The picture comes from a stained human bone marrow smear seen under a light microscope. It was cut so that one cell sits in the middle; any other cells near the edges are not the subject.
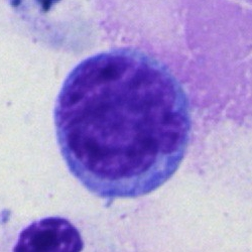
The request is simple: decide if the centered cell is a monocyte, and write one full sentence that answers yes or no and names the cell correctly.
Yes, the cell here in the middle is a monocyte.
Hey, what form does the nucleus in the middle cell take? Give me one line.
Key feature: a single compact nucleus, round, oval or kidney-shaped.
